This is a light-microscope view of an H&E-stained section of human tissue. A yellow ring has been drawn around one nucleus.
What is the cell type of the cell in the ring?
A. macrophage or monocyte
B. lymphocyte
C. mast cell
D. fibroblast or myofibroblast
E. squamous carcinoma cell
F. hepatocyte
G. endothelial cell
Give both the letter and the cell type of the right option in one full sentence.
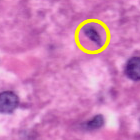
With the cell in the ring being an endothelial cell, option G is correct.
